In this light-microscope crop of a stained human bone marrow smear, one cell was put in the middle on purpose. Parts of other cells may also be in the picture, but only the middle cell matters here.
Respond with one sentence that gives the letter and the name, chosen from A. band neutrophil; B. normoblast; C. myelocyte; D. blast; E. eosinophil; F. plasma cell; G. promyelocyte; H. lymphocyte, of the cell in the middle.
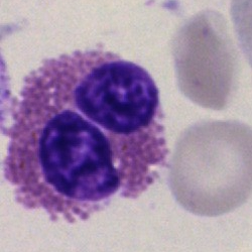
The right choice is option E: the cell in the middle is an eosinophil.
